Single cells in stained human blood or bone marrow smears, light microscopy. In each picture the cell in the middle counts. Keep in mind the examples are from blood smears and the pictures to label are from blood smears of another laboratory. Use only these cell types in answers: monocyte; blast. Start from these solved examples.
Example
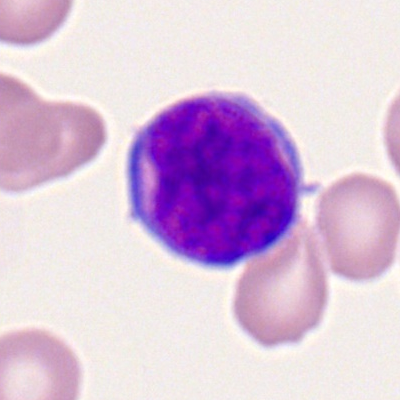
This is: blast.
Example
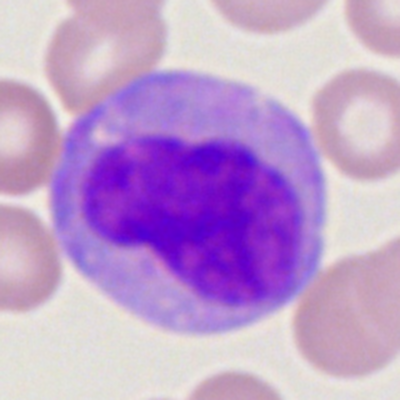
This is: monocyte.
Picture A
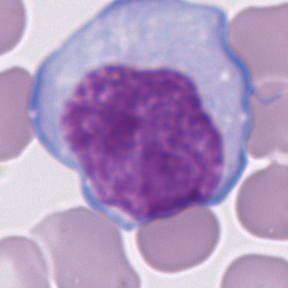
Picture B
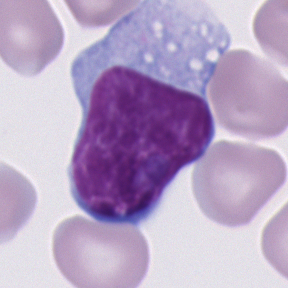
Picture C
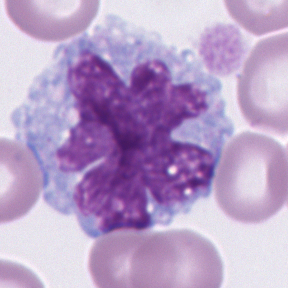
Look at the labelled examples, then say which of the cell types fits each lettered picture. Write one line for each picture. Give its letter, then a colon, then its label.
A: blast.
B: blast.
C: monocyte.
